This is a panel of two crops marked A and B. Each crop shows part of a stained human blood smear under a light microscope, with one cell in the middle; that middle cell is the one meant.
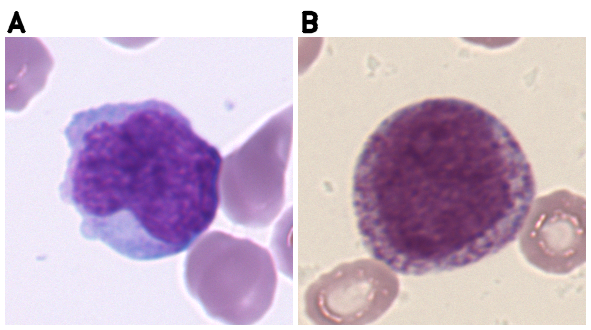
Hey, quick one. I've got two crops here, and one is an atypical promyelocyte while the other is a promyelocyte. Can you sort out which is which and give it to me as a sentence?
Crop A has an atypical promyelocyte at its centre, and crop B has a promyelocyte.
